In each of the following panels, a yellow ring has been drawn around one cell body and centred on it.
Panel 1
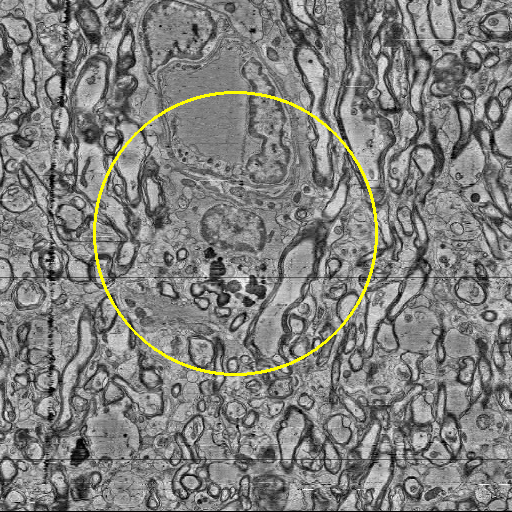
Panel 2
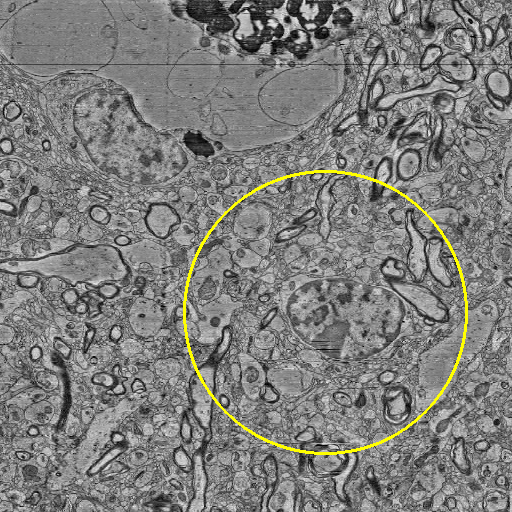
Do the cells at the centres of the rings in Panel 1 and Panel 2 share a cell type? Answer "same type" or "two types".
two types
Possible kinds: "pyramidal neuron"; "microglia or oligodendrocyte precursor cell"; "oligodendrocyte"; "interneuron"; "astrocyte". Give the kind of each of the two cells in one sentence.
The cell in the second picture is a microglial cell or oligodendrocyte precursor cell, and that in the first is an oligodendrocyte.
